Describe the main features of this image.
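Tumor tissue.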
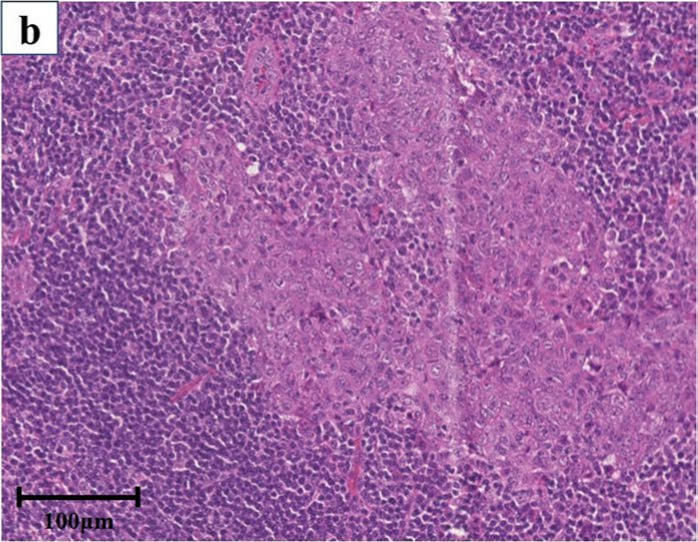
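A cluster of epithelioid cells lies in the middle of a sheet of densely packed small lymphocytes. The epithelioid cells have plentiful pale pink cytoplasm with indistinct borders and oval, relatively large, paler nuclei. The lymphocytes around them are small round cells with dark purple nuclei and scant cytoplasm, giving the surrounding tissue a deep blue-purple tone. A few small vessels with pink walls run through the field.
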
